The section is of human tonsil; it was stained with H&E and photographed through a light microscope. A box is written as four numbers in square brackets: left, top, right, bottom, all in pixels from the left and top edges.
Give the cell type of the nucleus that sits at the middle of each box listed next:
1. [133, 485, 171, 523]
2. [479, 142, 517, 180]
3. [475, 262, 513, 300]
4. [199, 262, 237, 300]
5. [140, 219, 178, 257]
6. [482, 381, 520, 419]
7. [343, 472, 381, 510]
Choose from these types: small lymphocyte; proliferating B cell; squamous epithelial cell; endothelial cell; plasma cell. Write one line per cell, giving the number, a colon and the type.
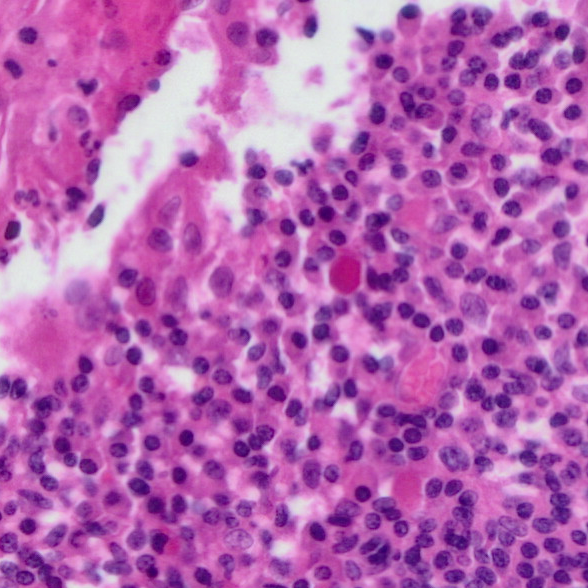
1: plasma cell
2: plasma cell
3: plasma cell
4: squamous epithelial cell
5: squamous epithelial cell
6: small lymphocyte
7: plasma cell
